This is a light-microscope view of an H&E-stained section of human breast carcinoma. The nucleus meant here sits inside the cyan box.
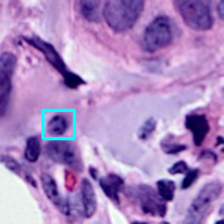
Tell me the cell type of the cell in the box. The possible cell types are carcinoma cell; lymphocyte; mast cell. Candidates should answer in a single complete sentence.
Assigned to a cell type, the cell in the box is a mast cell.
